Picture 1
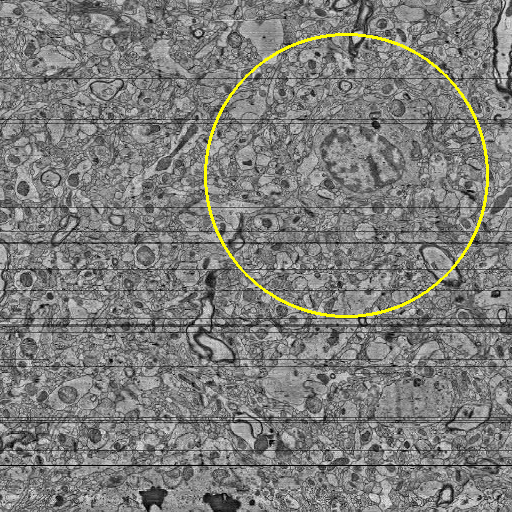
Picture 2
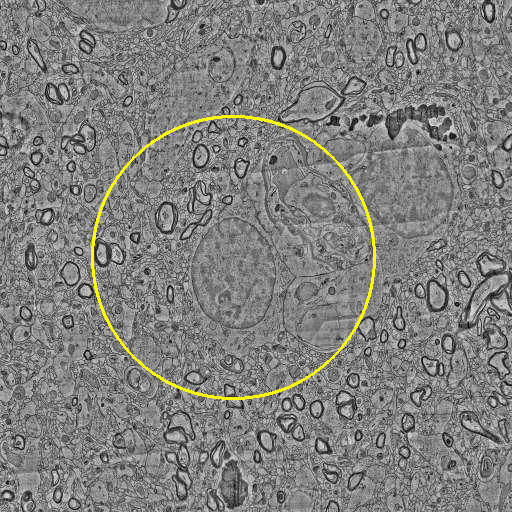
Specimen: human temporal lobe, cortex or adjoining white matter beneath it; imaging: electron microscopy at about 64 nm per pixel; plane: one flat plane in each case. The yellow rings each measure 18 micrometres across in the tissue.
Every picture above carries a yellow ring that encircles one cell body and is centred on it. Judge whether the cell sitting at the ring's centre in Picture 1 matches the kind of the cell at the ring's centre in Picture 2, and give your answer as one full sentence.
Yes, the cells centred in the rings of Pictures 1 and 2 belong to one kind.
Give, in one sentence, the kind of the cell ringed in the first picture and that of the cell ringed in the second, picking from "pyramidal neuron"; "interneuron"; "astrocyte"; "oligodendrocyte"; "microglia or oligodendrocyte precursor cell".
The cell in the first picture is an oligodendrocyte, and so is the one in the second.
